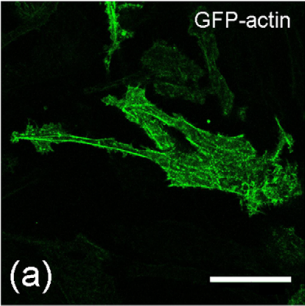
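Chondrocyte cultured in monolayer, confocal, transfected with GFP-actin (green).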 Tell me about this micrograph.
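A single spread, irregularly elongated cell stands out bright green against dim neighbours, with fine filaments running along its length and a long thin process reaching out to one side. Its margins show a denser, ruffled meshwork, while the interior is crossed by straight fibres.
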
